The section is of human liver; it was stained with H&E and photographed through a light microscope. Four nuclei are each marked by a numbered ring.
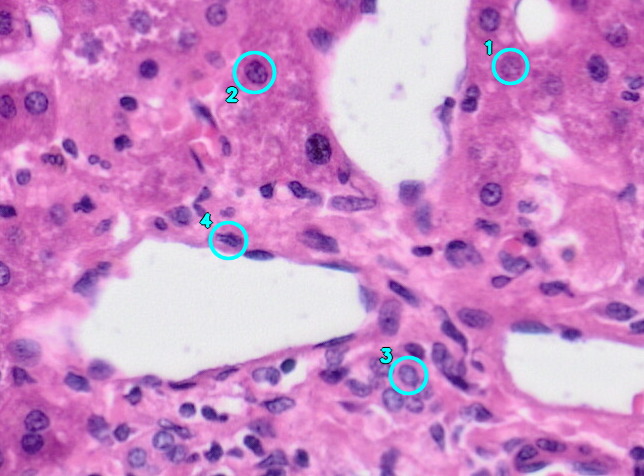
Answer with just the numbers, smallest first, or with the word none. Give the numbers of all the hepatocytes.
1, 2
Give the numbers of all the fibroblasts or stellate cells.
4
